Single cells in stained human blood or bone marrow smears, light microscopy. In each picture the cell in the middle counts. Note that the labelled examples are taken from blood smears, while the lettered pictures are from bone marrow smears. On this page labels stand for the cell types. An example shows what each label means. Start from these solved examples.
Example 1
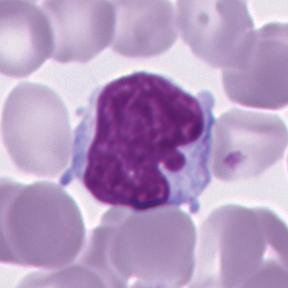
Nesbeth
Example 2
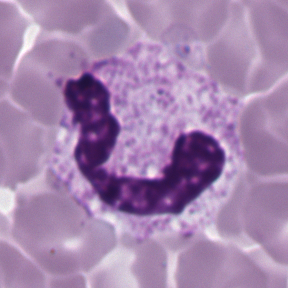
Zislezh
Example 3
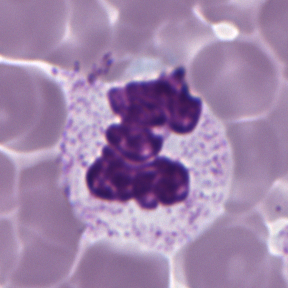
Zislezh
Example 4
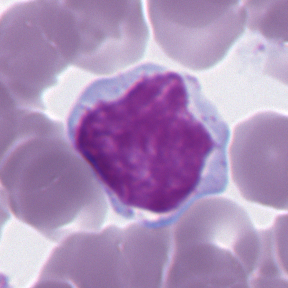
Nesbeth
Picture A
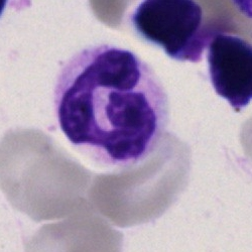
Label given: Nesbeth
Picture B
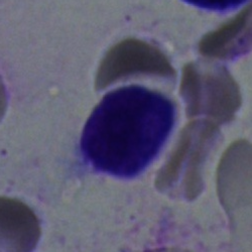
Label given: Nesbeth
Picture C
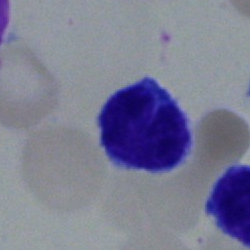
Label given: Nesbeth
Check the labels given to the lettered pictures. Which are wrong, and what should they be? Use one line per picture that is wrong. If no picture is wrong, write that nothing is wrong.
A should be Zislezh, not Nesbeth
